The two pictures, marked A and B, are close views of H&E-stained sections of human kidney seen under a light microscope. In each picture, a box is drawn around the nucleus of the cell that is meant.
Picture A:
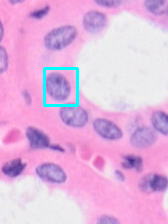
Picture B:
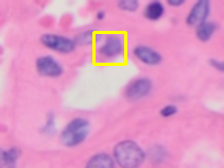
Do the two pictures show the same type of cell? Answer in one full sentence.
Yes, they are the same type: both are collecting duct cells.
